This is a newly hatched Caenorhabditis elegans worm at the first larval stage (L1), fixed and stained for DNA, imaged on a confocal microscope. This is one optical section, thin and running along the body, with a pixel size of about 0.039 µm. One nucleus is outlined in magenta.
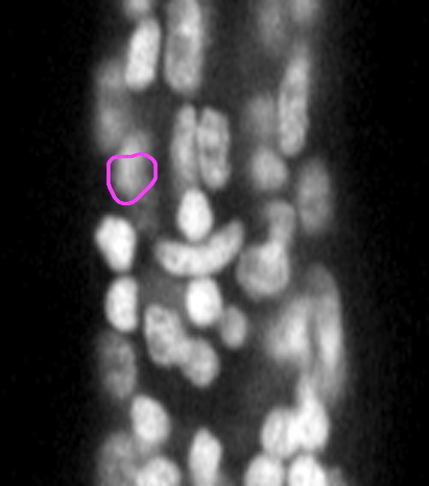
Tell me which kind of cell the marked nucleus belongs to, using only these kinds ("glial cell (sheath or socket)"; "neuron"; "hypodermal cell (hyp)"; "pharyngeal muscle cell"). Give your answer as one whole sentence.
The marked cell is a hypodermal cell (hyp).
